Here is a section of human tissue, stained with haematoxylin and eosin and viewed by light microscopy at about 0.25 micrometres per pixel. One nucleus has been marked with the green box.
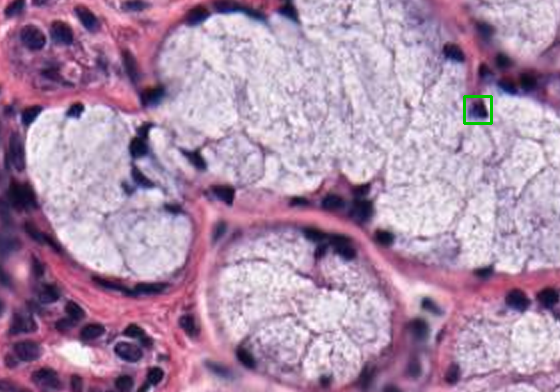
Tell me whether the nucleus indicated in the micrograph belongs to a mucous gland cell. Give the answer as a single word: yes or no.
yes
